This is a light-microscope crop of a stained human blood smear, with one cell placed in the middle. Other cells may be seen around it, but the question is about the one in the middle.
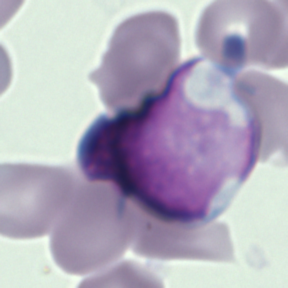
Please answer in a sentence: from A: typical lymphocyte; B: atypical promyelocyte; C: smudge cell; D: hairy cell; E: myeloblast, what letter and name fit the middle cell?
Since the cell in the centre is a typical lymphocyte, the correct option is A.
